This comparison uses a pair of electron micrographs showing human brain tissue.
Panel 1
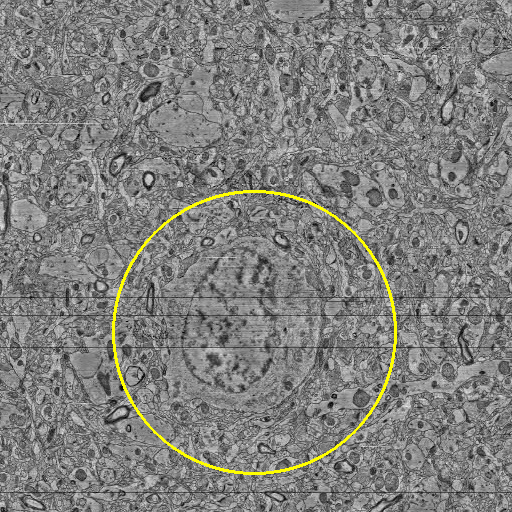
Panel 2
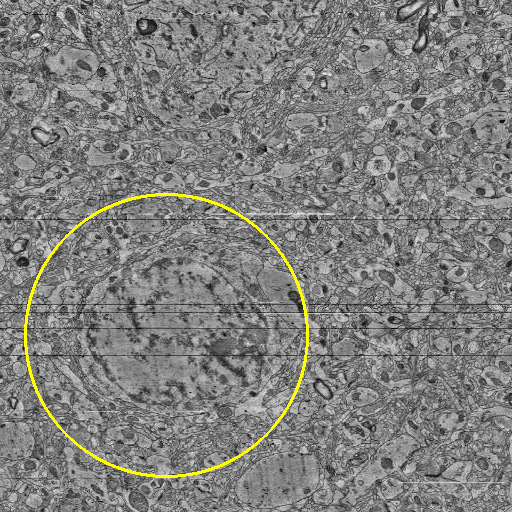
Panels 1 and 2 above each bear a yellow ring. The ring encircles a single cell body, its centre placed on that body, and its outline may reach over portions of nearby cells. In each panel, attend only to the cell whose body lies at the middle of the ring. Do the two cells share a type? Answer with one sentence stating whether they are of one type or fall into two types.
In Panel 1 and Panel 2, the cells at the centres of the rings are of one type.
